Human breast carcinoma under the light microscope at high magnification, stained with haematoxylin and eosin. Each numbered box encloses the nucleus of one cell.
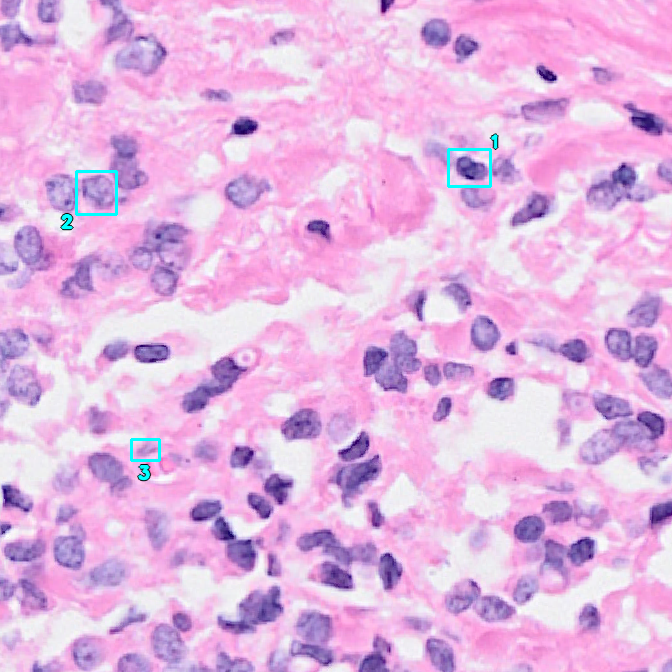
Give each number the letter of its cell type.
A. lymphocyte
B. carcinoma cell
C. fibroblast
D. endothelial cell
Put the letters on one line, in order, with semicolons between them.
A; B; D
